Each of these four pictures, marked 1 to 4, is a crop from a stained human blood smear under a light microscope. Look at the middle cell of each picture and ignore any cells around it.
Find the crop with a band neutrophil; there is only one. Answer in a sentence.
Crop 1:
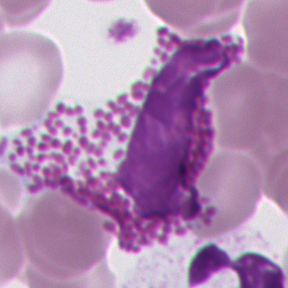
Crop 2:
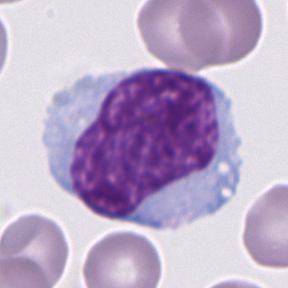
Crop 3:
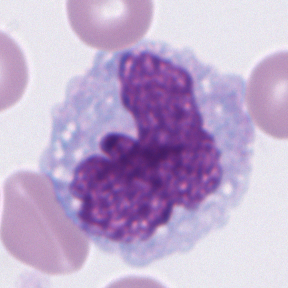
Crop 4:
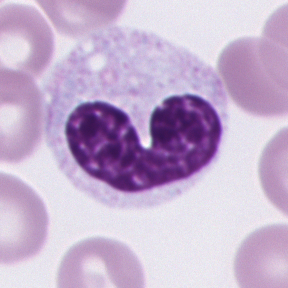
The crop marked 4 is the one that shows a band neutrophil.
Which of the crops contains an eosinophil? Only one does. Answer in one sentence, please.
Among these crops, crop 1 holds an eosinophil.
